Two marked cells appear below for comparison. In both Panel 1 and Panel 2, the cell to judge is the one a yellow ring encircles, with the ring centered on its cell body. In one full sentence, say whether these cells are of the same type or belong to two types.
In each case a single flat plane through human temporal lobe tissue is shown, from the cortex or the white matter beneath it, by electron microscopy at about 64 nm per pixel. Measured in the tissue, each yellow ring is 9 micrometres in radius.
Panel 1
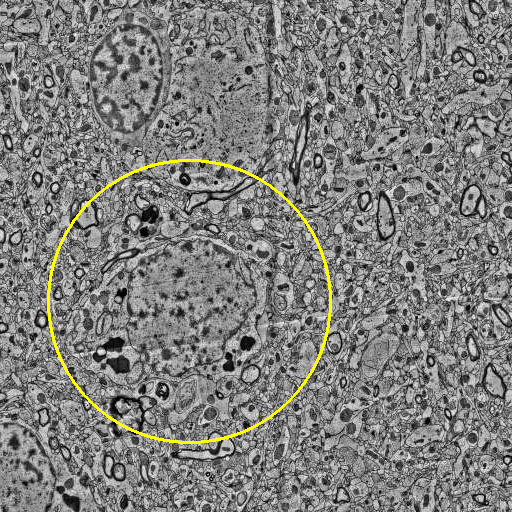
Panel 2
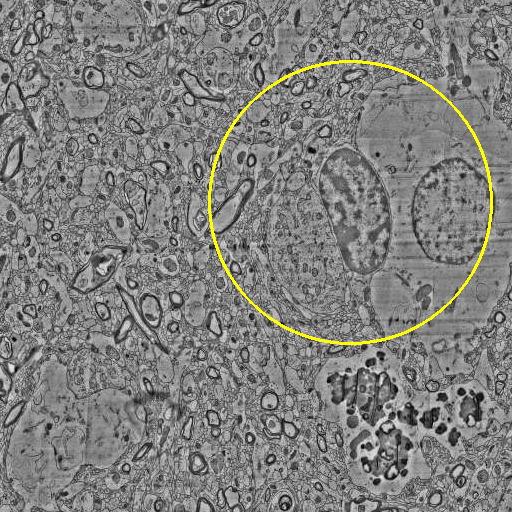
The cell centered in the Panel 1 ring and the one in Panel 2 belong to two types.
